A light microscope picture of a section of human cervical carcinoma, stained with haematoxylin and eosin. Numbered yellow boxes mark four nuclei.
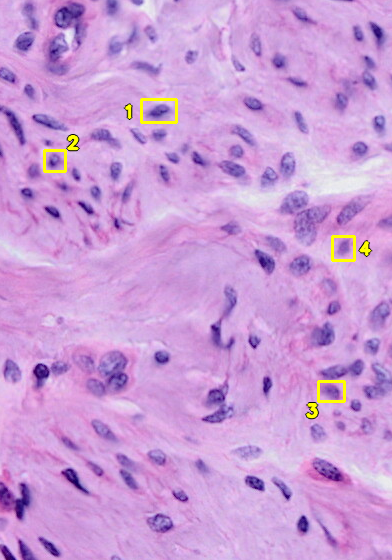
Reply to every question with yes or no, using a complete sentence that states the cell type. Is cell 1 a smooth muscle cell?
No, at number 1 sits a fibroblast, not a smooth muscle cell.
